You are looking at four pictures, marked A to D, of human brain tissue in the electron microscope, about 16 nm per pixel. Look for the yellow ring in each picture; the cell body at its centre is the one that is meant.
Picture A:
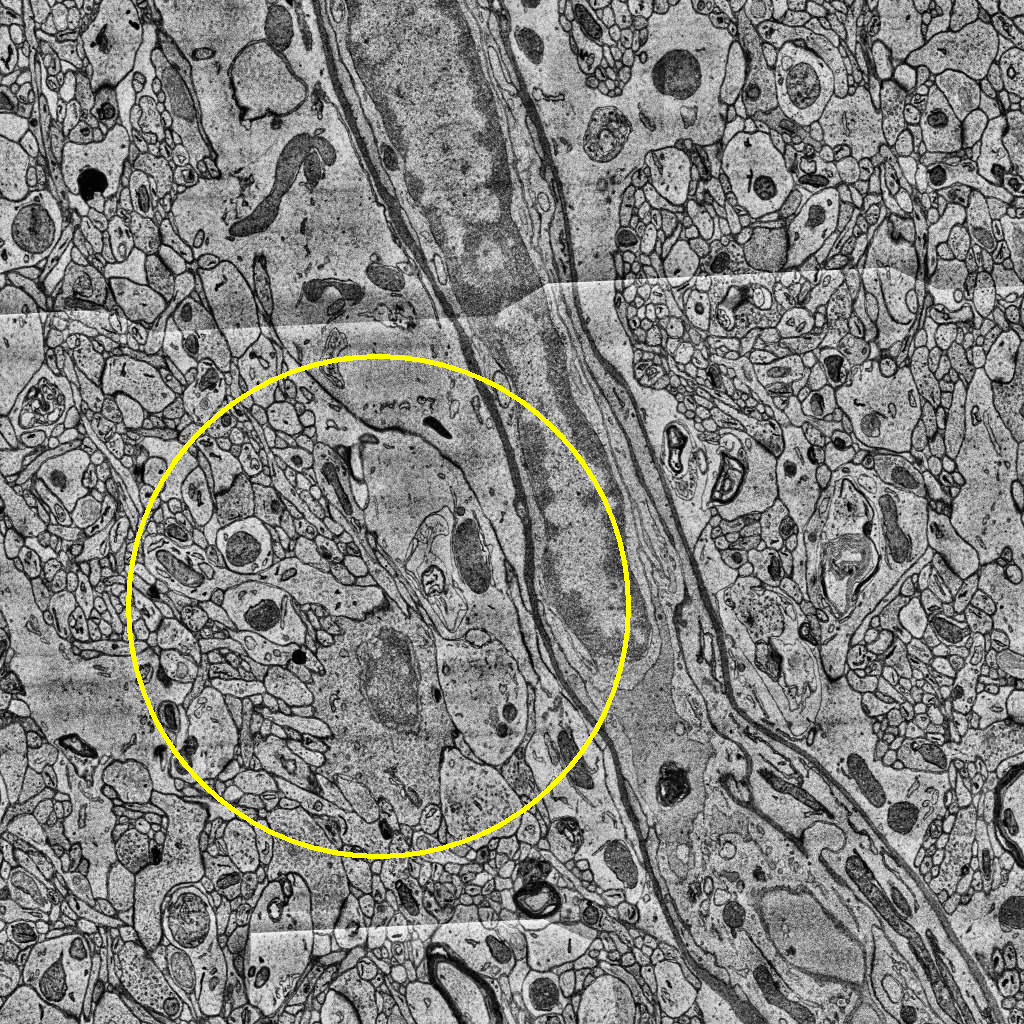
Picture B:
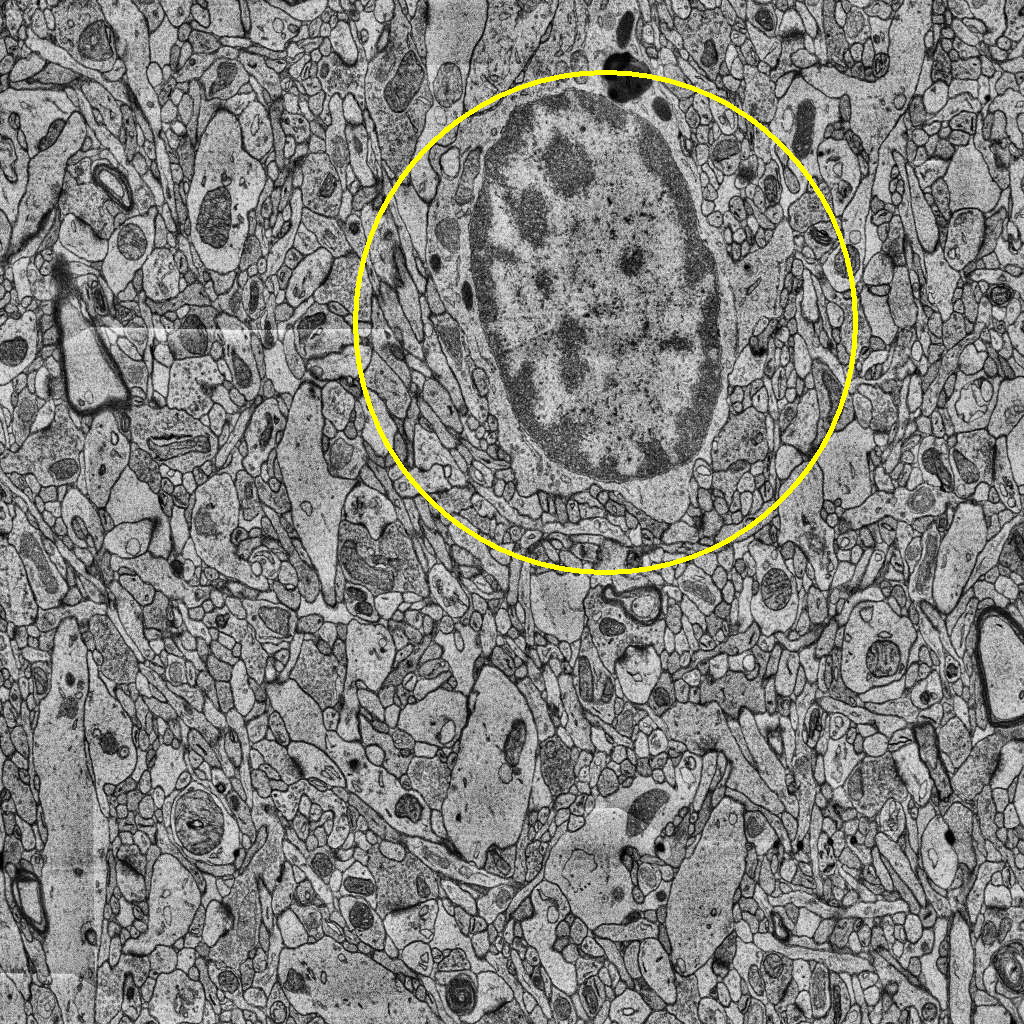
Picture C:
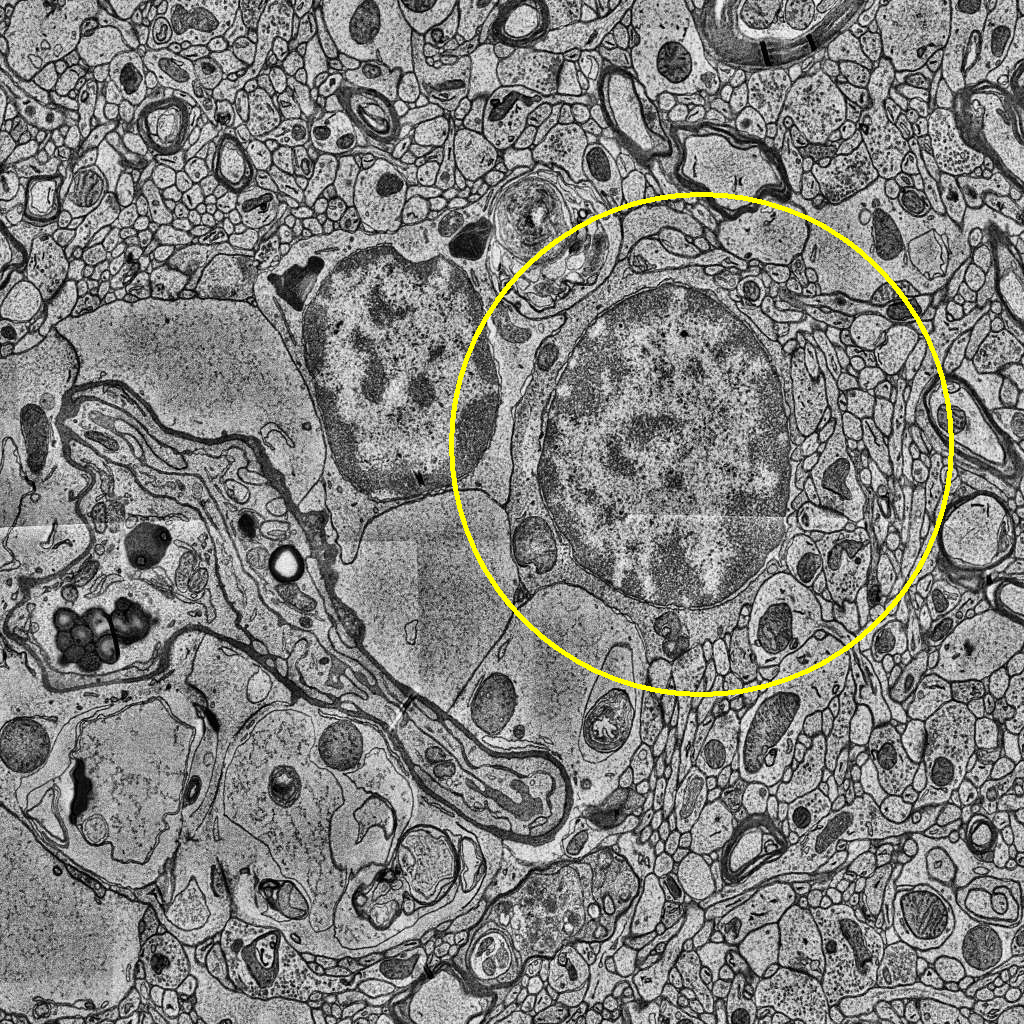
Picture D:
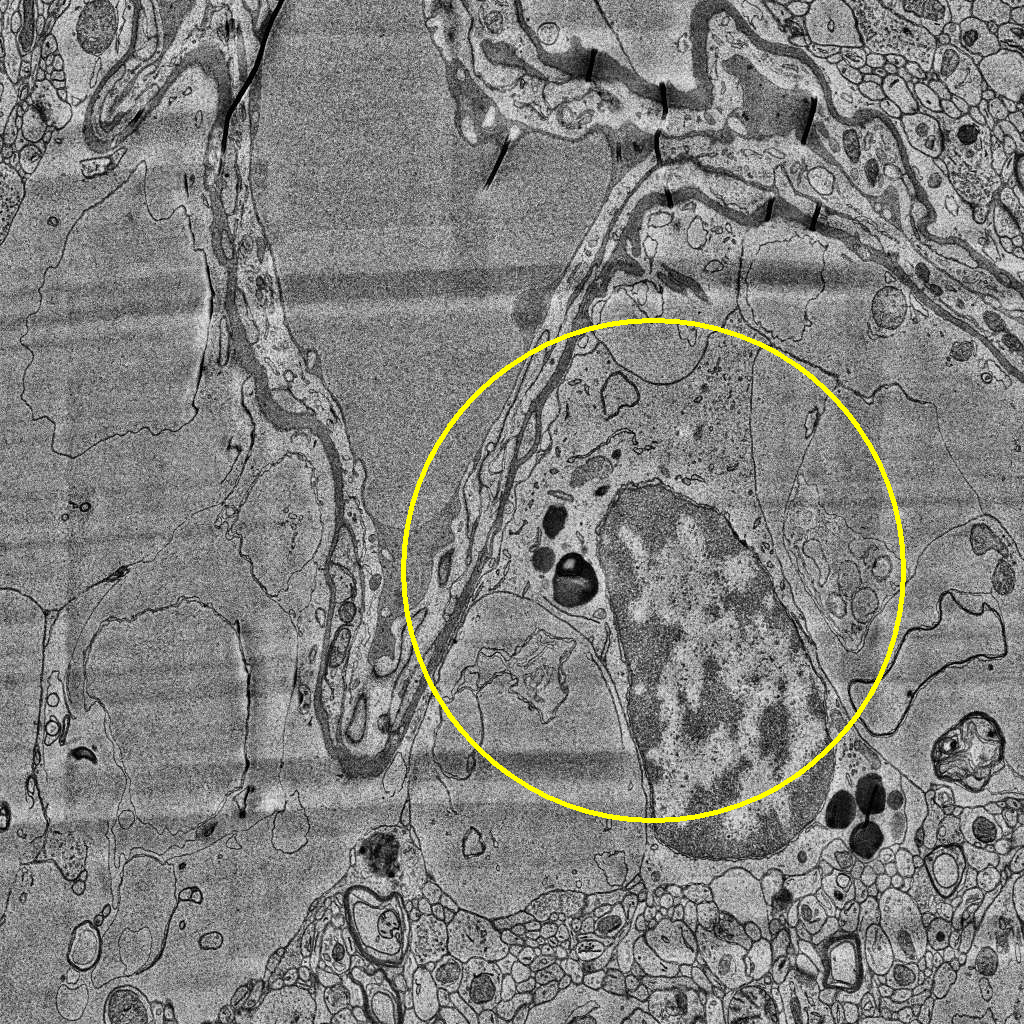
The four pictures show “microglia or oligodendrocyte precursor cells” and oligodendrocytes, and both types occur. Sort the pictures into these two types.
Pictures B and D show “microglia or oligodendrocyte precursor cells”, while pictures A and C show oligodendrocytes.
